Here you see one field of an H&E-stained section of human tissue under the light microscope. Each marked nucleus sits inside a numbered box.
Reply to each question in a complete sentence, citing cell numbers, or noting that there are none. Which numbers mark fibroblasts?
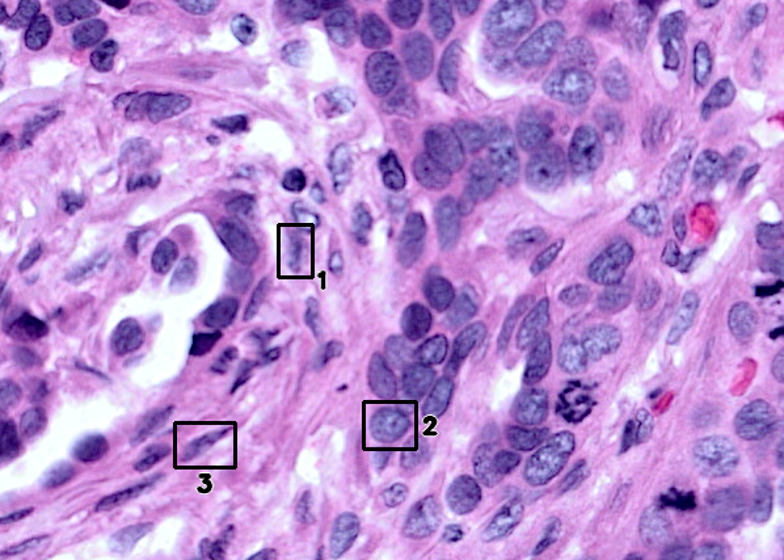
The cells with numbers 1 and 3 are fibroblasts by type.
